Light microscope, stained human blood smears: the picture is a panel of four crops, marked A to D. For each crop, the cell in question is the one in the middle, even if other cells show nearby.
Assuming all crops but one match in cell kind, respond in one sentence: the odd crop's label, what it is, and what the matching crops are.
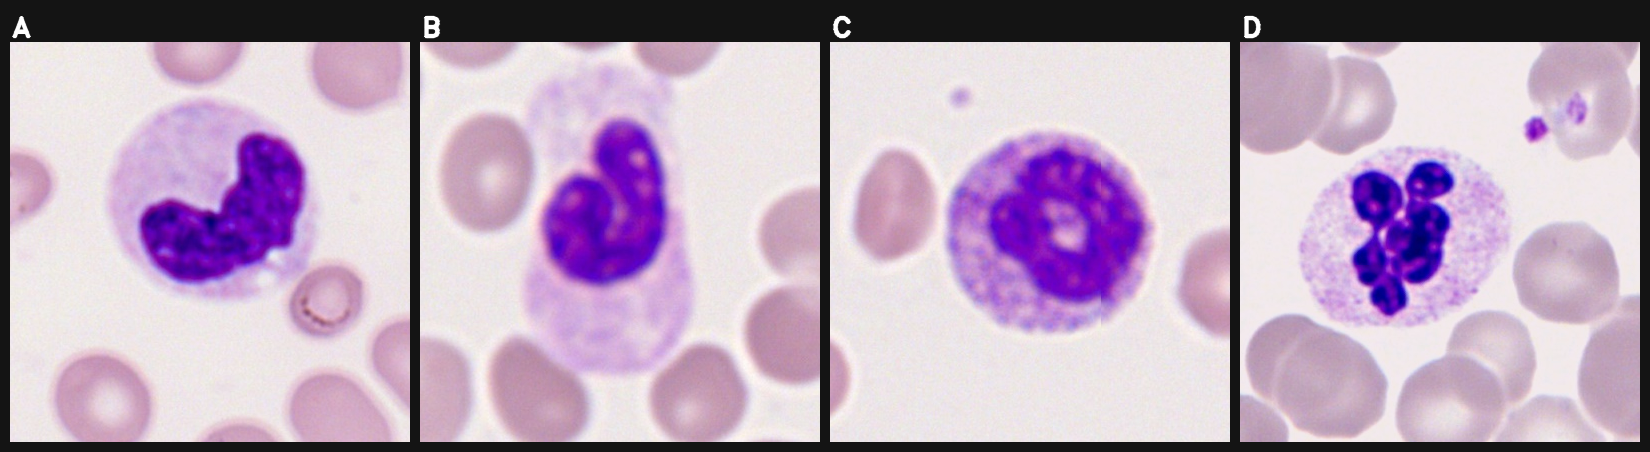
Crop D differs from the others in showing a segmented neutrophil; the rest all show band neutrophils.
